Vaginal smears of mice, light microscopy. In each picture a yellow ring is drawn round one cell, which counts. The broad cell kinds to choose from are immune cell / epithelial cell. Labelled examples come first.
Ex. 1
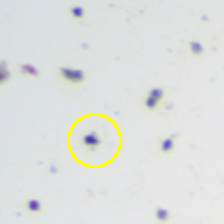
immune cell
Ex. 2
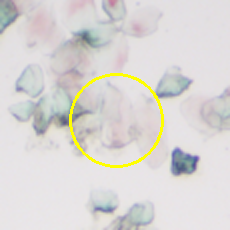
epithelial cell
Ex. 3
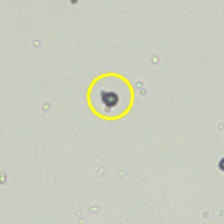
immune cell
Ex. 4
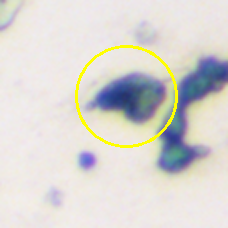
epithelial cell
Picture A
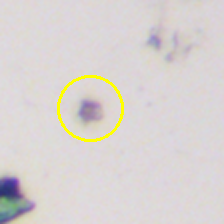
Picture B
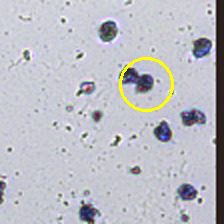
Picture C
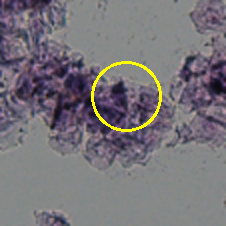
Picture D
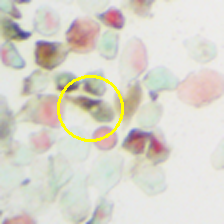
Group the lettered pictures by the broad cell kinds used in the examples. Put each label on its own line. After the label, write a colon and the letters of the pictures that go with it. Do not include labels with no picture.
immune cell: A, B
epithelial cell: C, D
